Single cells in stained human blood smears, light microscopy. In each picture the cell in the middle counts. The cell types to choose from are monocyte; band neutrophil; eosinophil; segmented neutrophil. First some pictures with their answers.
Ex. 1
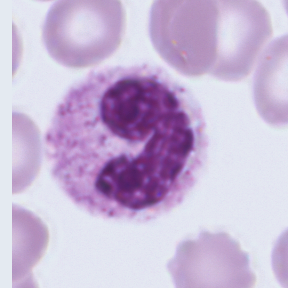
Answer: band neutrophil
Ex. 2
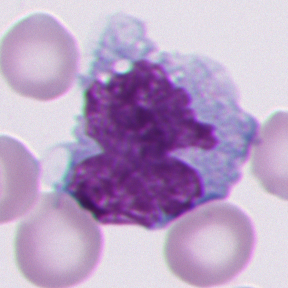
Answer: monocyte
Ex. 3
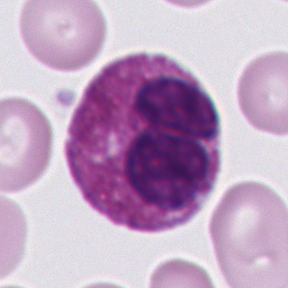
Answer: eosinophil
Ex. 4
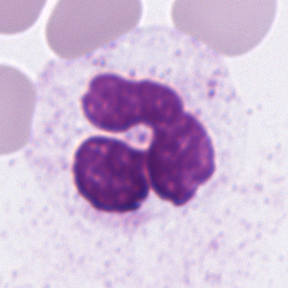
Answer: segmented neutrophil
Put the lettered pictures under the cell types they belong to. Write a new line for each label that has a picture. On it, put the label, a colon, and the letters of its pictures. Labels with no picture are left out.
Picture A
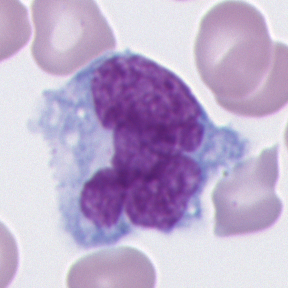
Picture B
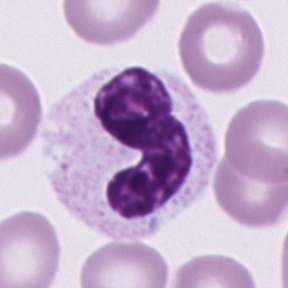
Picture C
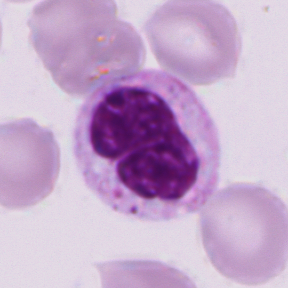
monocyte: A
band neutrophil: C
segmented neutrophil: B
